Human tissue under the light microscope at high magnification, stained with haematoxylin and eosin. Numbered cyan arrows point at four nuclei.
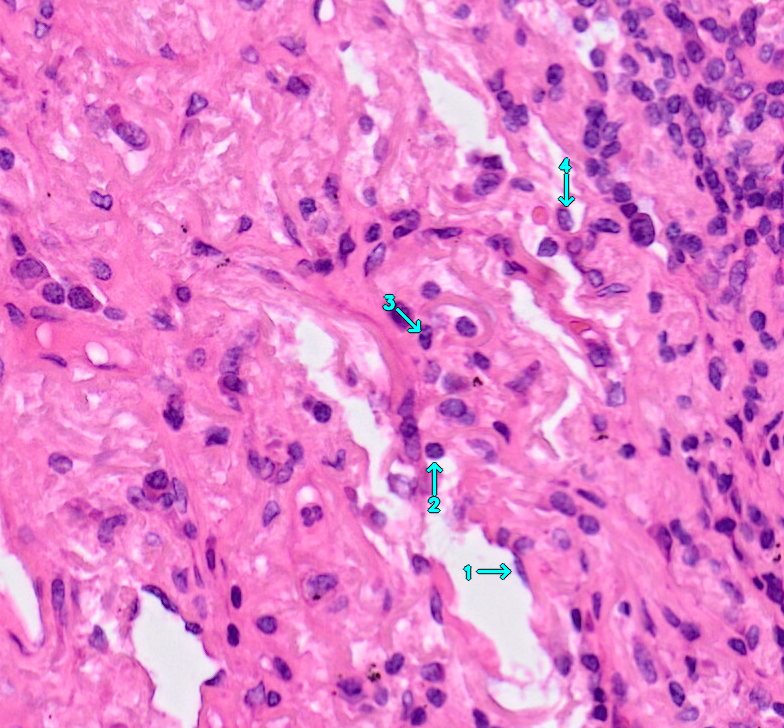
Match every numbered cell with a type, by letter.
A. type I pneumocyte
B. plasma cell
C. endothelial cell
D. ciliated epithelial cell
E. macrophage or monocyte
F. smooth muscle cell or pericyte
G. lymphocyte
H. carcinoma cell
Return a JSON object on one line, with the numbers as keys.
{"1": "C", "2": "G", "3": "G", "4": "G"}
